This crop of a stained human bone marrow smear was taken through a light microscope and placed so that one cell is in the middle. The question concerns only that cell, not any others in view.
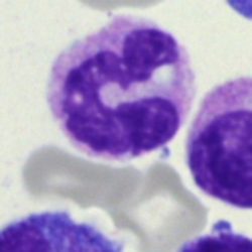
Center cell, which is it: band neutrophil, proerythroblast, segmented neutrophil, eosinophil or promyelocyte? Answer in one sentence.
In the center of this field lies a band neutrophil.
